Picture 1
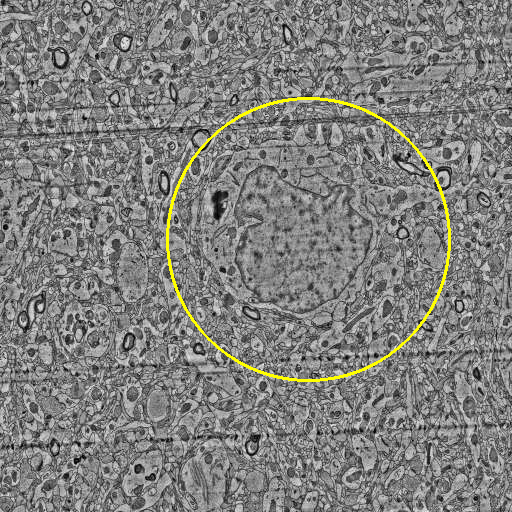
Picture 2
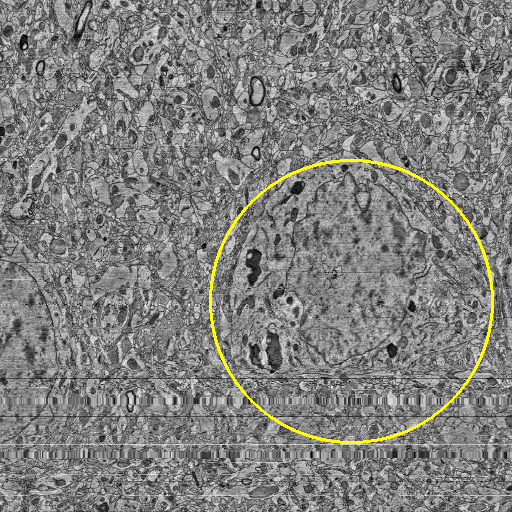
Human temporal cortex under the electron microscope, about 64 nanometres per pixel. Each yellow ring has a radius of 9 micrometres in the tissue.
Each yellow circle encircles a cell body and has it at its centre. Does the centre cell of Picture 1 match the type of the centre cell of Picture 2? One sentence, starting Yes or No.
Yes, the cell centred in Picture 1 and the one in Picture 2 share a type.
